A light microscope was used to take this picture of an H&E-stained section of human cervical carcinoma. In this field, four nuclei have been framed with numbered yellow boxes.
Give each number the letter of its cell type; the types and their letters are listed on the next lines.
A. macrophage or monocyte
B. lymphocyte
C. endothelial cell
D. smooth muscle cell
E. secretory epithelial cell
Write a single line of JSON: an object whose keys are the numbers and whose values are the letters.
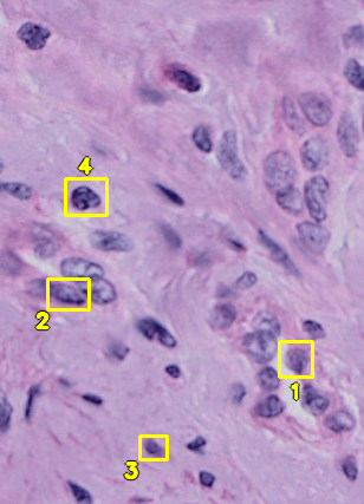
{"1": "C", "2": "C", "3": "D", "4": "B"}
